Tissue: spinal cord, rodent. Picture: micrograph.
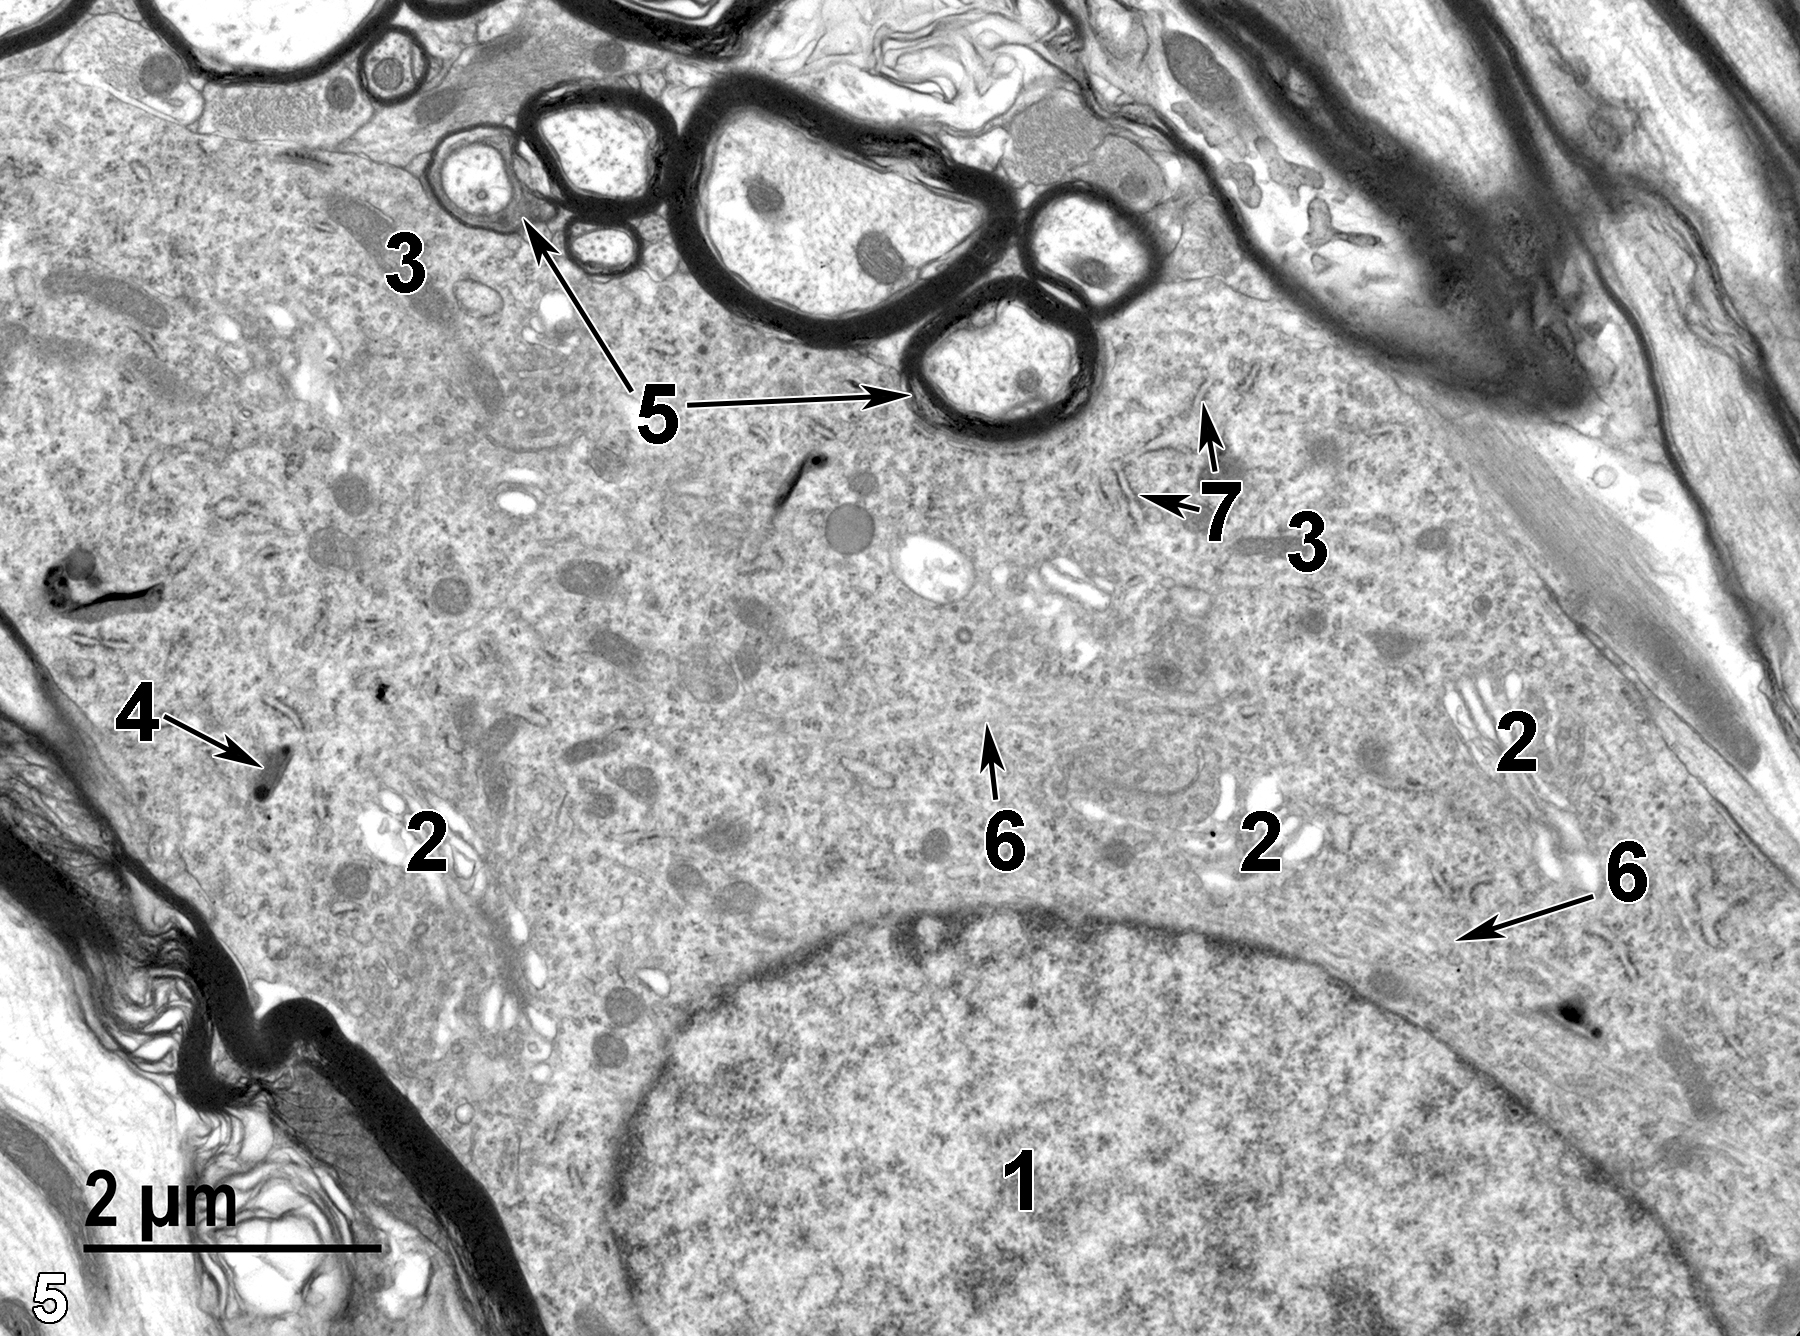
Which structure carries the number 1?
The number 1 marks the nucleus.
